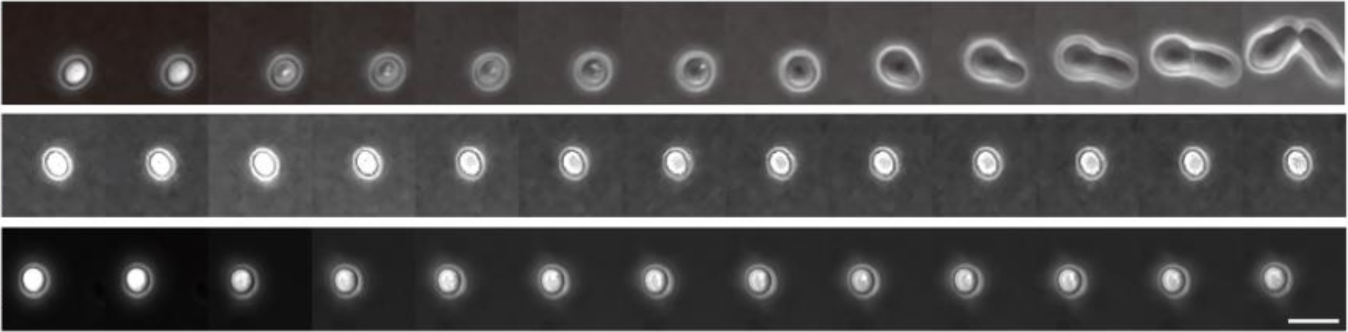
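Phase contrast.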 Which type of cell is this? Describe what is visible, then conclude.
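Spores. In the top row one body swells, loses its brightness and grows out into an elongated tube-like extension in the late frames.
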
